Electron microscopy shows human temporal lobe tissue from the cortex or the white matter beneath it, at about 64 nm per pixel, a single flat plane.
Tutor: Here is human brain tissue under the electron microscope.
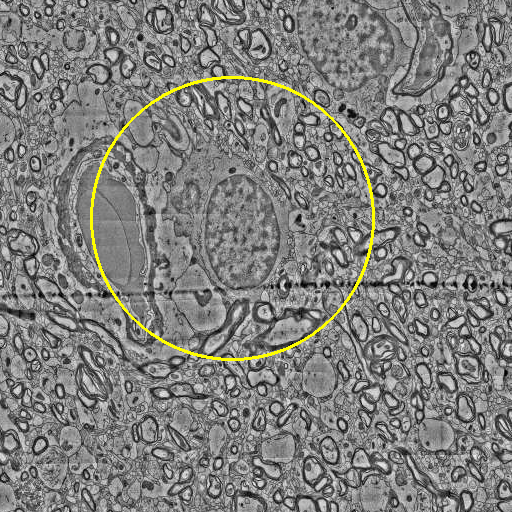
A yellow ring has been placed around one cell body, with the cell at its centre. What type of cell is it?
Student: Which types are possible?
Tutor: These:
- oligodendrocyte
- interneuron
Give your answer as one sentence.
What the ring picks out here is an oligodendrocyte.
